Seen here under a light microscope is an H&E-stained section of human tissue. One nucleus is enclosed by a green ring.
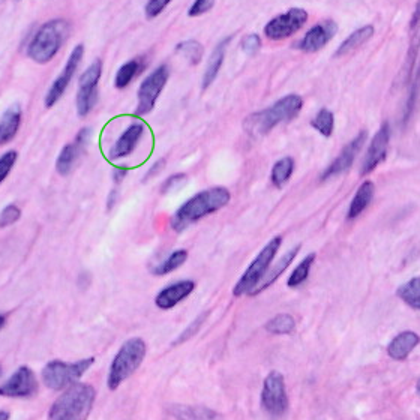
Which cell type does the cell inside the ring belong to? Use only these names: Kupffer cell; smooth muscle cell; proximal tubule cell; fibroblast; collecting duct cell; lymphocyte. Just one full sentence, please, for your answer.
At the level of cell identity, the cell inside the ring is a fibroblast.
